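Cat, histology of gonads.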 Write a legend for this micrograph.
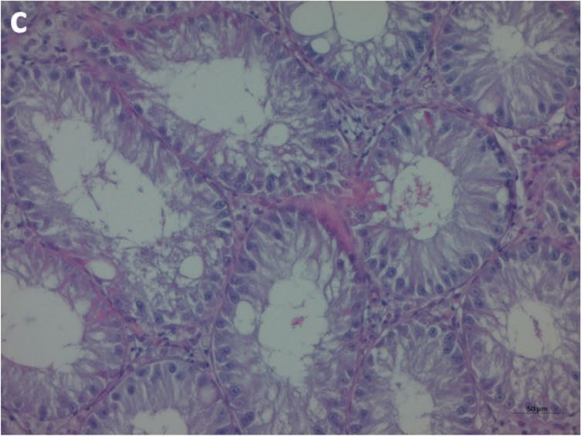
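Tall columnar cells with pale, finely vacuolated, pink-purple cytoplasm line the wall. Their oval purple nuclei lie in a row near the base. The centres of the tubules are wide, pale lumens containing lacy, vacuolated material. No layers of rounded cells with dense or dividing nuclei line the way toward the lumen. Narrow strands of interstitial tissue with scattered nuclei lie between neighbouring tubules.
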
